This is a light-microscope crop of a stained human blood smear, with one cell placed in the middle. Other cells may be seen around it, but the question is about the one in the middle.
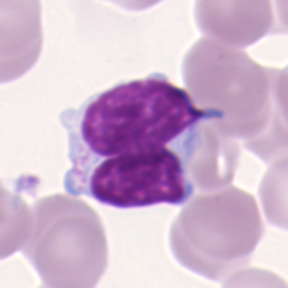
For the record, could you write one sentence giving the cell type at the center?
The cell in the middle of this crop is a large granular lymphocyte.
